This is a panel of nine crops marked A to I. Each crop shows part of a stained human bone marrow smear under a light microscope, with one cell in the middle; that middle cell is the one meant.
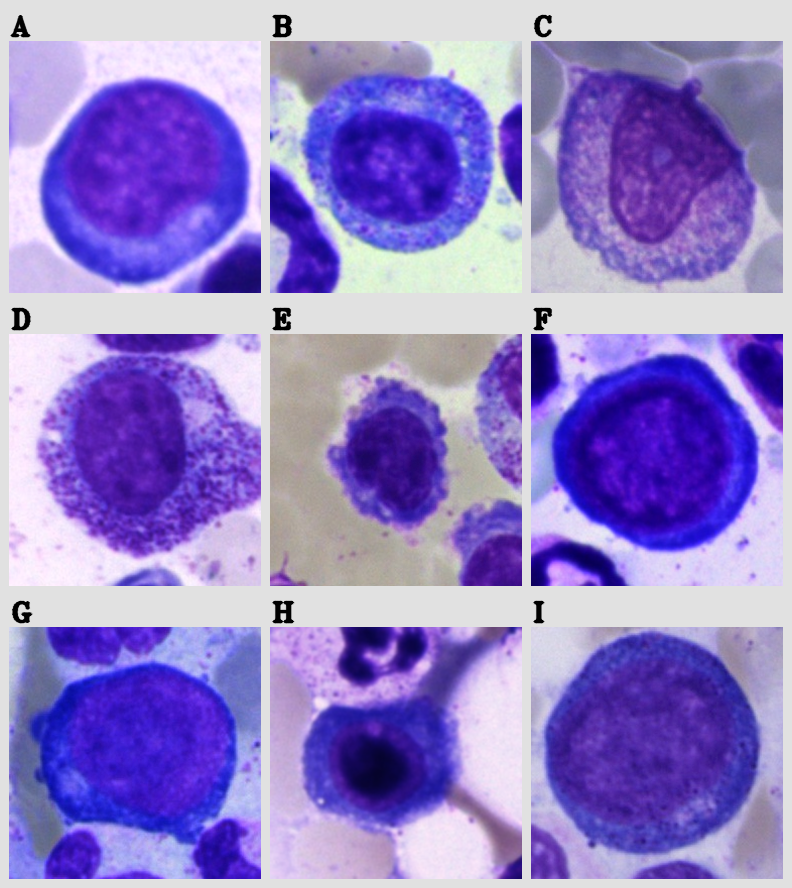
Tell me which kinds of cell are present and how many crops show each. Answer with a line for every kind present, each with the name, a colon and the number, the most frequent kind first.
proerythroblast: 4
promyelocyte: 3
plasma cell: 2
